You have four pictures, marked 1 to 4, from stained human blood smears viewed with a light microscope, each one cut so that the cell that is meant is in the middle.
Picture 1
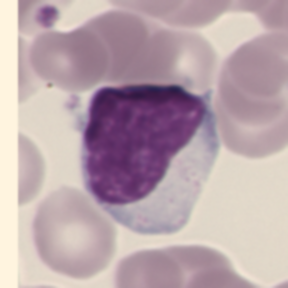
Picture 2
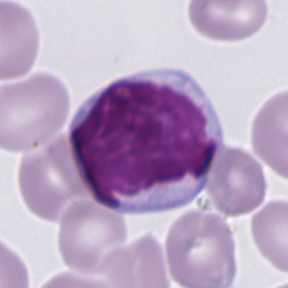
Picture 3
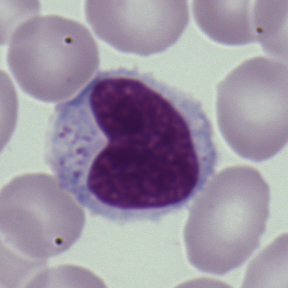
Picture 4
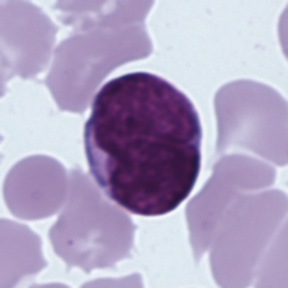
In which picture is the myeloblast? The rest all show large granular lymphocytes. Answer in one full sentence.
Picture 4 is the one that shows the myeloblast.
